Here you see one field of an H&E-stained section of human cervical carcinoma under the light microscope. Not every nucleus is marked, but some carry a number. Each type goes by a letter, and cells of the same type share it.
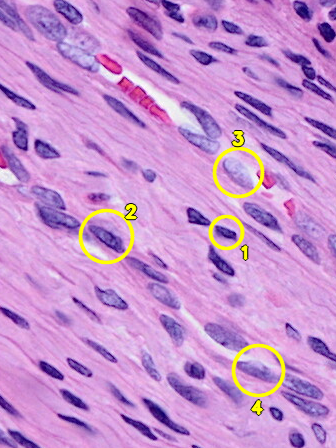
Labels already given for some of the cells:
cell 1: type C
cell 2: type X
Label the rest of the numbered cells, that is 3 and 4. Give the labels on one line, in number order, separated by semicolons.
type X; type X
